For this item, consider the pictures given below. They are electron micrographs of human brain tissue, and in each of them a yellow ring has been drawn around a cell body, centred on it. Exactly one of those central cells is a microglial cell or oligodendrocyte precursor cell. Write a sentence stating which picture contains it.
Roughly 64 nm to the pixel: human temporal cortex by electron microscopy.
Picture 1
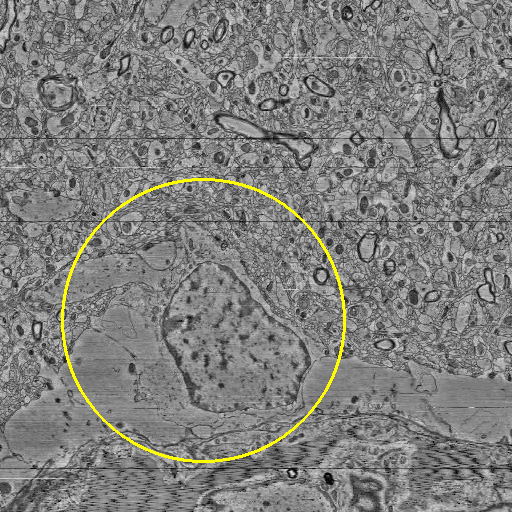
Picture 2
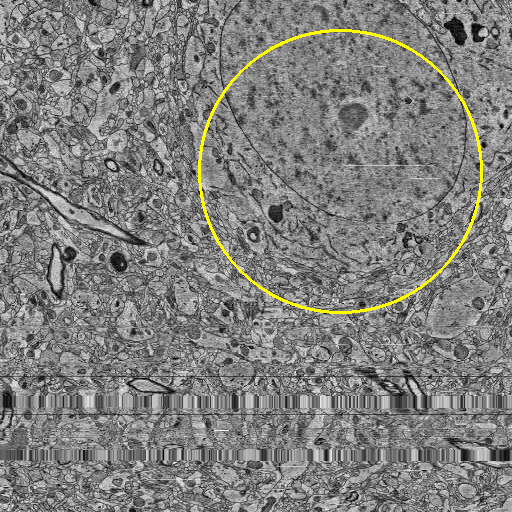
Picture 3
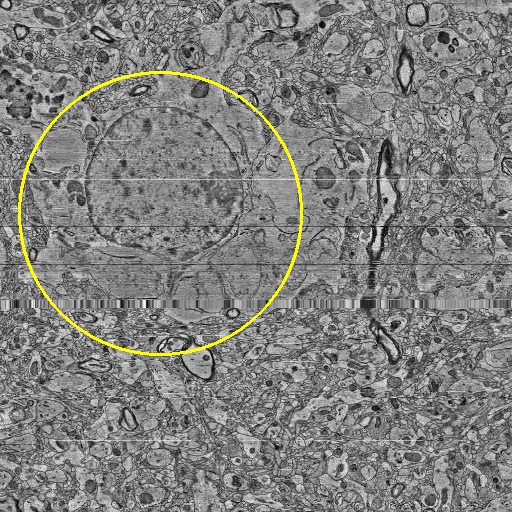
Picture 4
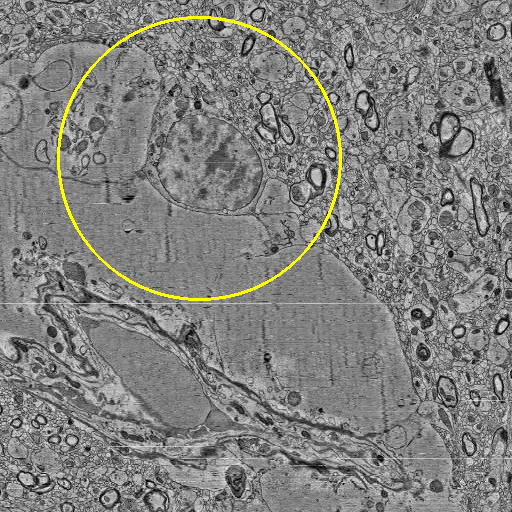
It is in Picture 1.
